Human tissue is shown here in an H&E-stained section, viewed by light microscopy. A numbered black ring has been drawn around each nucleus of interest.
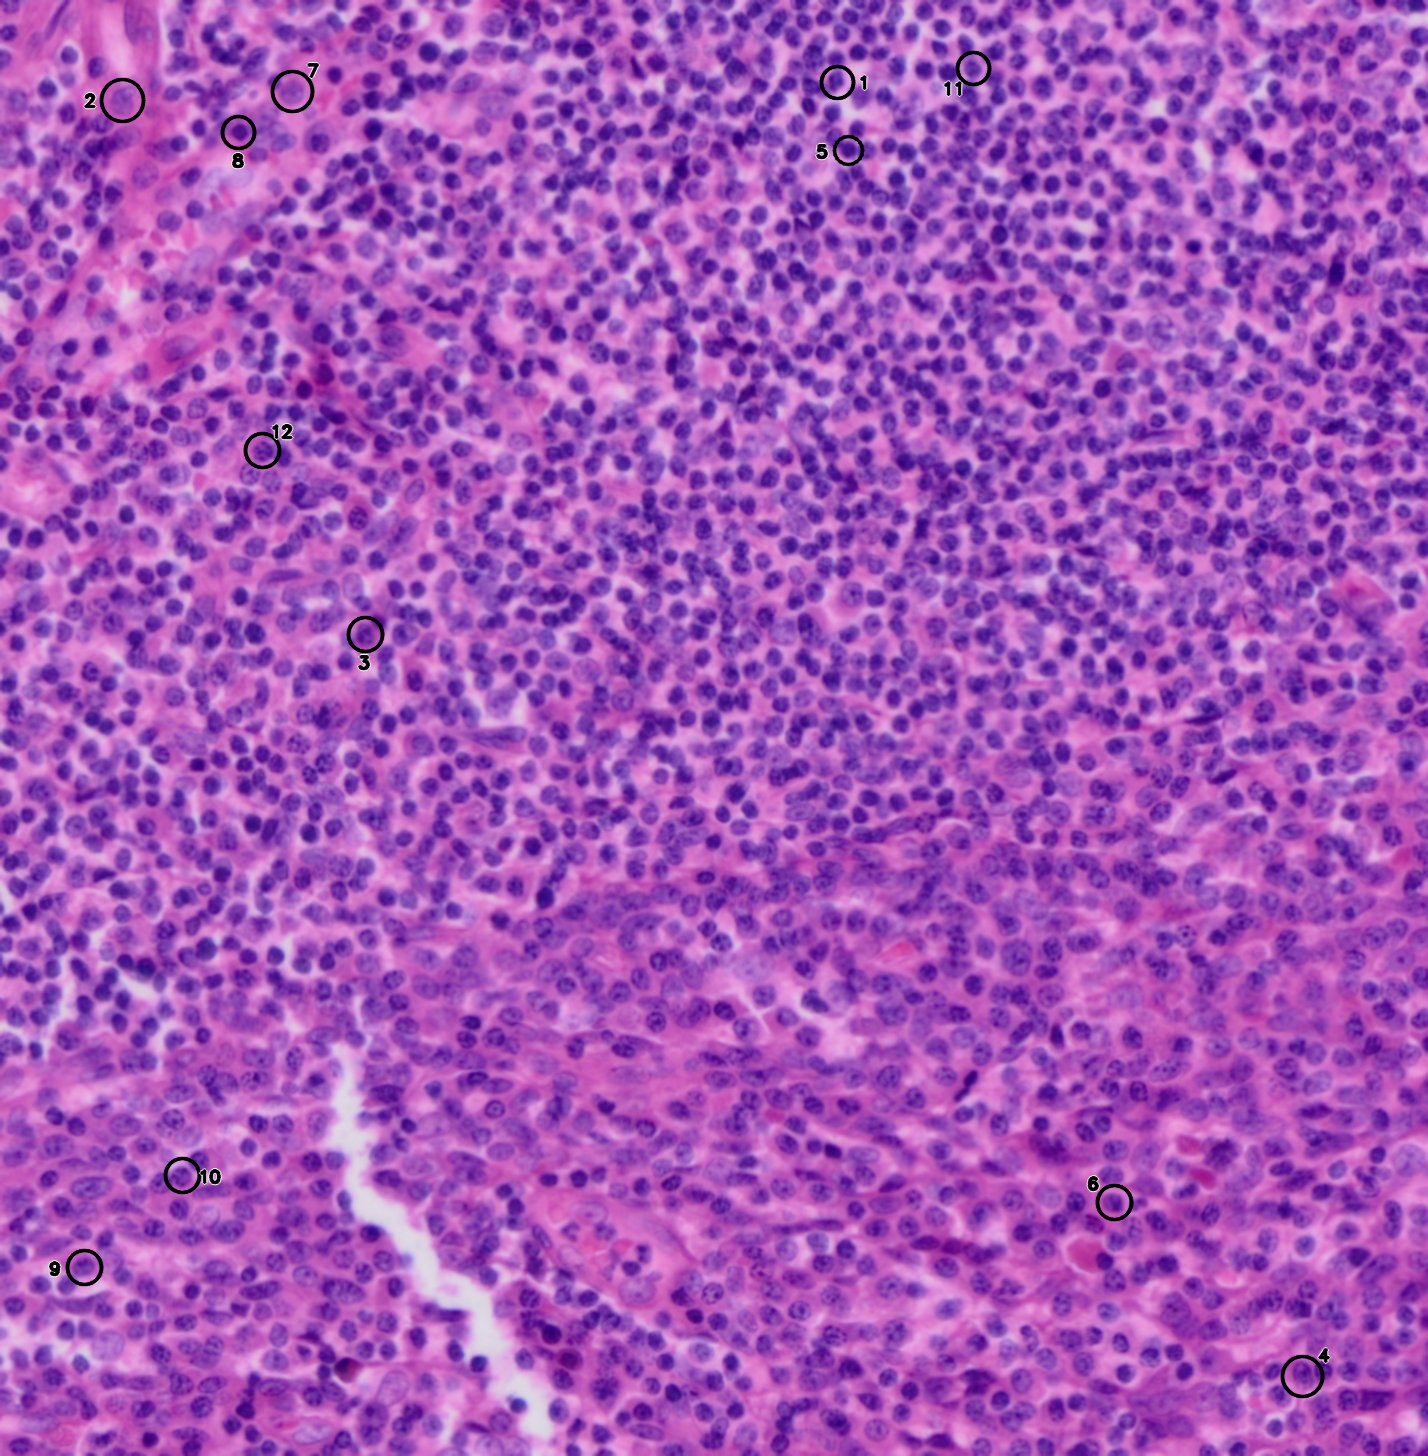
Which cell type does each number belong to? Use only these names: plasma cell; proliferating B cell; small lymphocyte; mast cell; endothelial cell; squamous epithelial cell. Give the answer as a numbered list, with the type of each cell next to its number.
1. small lymphocyte
2. endothelial cell
3. plasma cell
4. plasma cell
5. small lymphocyte
6. plasma cell
7. endothelial cell
8. endothelial cell
9. plasma cell
10. plasma cell
11. small lymphocyte
12. plasma cell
